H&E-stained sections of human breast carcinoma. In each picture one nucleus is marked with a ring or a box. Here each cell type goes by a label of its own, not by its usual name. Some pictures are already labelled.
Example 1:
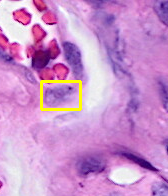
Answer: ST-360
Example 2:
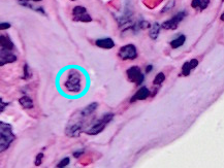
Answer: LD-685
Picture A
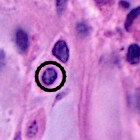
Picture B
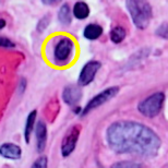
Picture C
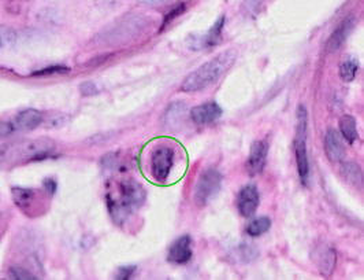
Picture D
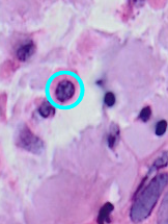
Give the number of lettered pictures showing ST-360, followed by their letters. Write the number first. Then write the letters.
0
